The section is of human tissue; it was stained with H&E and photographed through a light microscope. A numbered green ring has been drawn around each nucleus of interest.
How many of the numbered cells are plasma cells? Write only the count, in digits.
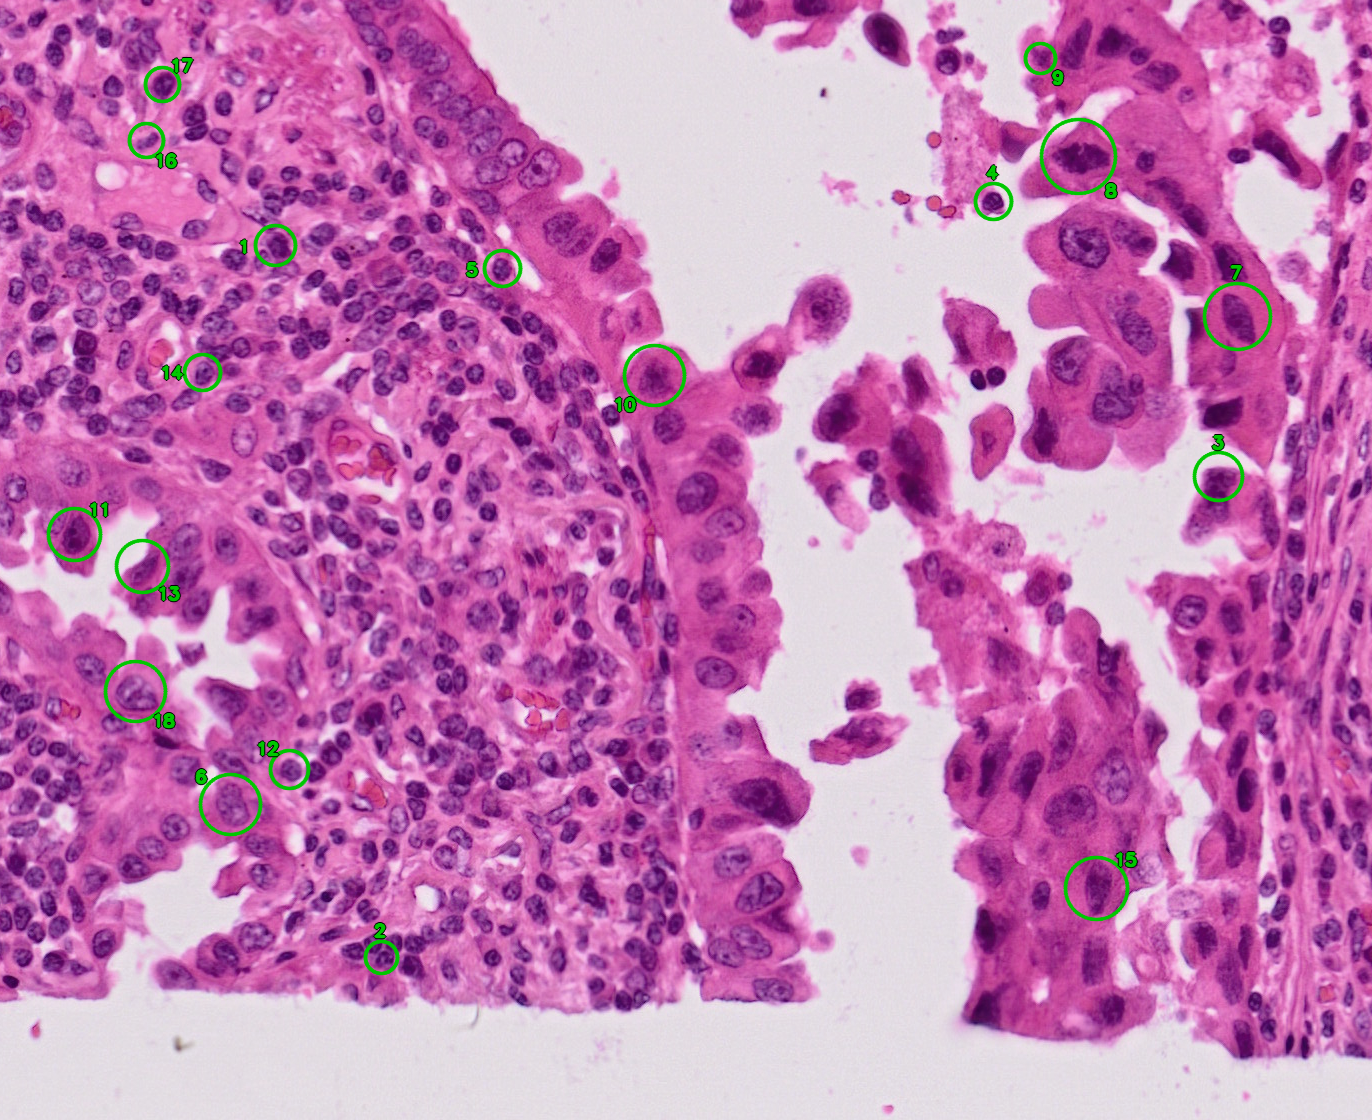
2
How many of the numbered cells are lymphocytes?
6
